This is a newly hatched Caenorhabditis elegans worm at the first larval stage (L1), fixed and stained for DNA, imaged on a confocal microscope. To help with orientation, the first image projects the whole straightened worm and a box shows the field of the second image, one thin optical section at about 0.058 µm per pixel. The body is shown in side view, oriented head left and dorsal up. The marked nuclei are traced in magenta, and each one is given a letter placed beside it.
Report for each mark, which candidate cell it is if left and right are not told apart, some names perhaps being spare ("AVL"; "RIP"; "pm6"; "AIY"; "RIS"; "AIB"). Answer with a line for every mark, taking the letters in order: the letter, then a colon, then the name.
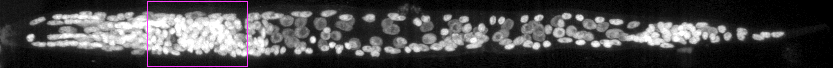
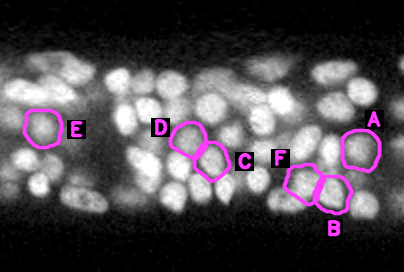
A: pm6
B: RIS
C: AVL
D: AIB
E: RIP
F: AIY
